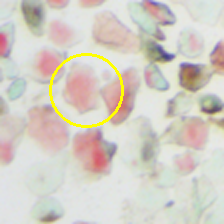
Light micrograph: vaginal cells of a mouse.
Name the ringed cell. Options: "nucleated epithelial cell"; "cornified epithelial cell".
cornified epithelial cell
